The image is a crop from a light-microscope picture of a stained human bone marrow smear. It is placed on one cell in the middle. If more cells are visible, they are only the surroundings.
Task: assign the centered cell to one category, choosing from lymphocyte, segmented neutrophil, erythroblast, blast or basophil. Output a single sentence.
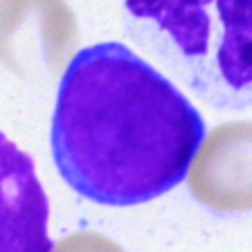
As for the cell in the middle, it is a blast.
